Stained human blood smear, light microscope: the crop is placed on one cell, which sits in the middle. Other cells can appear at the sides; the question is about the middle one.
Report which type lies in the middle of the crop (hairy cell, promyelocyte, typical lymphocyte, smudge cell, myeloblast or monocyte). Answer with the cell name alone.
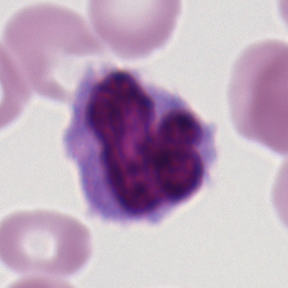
monocyte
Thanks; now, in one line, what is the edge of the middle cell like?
The edge of the cell is broken up by ragged stretches or by outward projections.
